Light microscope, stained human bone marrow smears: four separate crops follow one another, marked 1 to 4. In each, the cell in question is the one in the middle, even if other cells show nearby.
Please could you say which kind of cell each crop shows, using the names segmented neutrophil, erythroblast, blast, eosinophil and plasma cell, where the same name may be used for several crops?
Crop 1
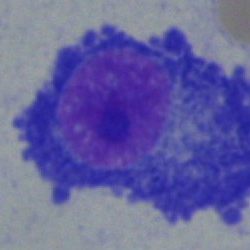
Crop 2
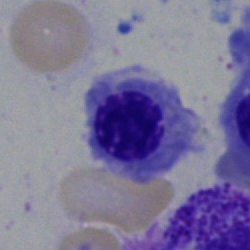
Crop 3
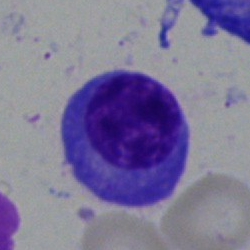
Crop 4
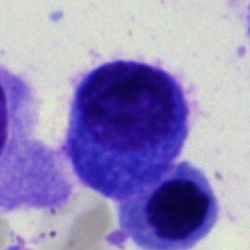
1: plasma cell
2: erythroblast
3: plasma cell
4: plasma cell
